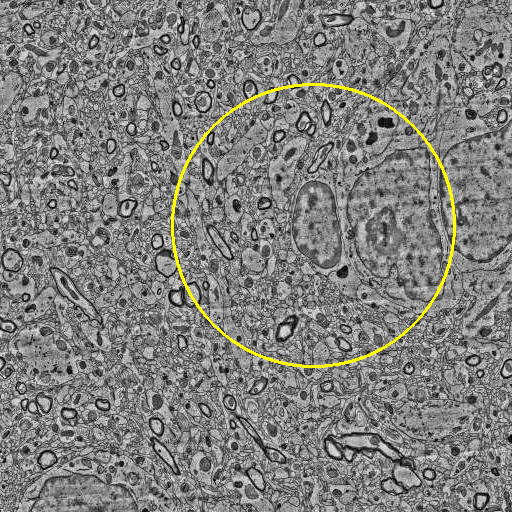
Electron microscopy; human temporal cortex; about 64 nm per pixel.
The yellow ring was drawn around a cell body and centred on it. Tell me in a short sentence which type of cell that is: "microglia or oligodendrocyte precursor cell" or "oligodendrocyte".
The cell at the ring's centre is a microglial cell or oligodendrocyte precursor cell.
